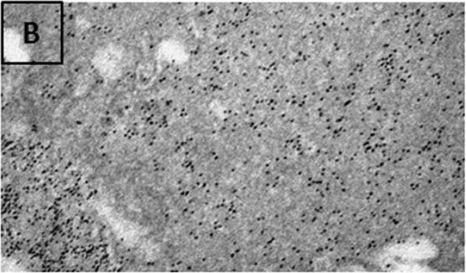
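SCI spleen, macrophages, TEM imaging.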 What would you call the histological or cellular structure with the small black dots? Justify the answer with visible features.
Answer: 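Cytoplasmic ferritin(iron). Numerous tiny, uniform, electron-dense black particles are scattered throughout the cytoplasm.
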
